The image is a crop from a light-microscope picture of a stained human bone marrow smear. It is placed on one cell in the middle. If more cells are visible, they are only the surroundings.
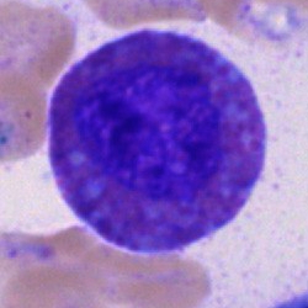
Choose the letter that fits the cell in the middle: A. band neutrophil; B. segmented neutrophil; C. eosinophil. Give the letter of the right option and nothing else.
C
